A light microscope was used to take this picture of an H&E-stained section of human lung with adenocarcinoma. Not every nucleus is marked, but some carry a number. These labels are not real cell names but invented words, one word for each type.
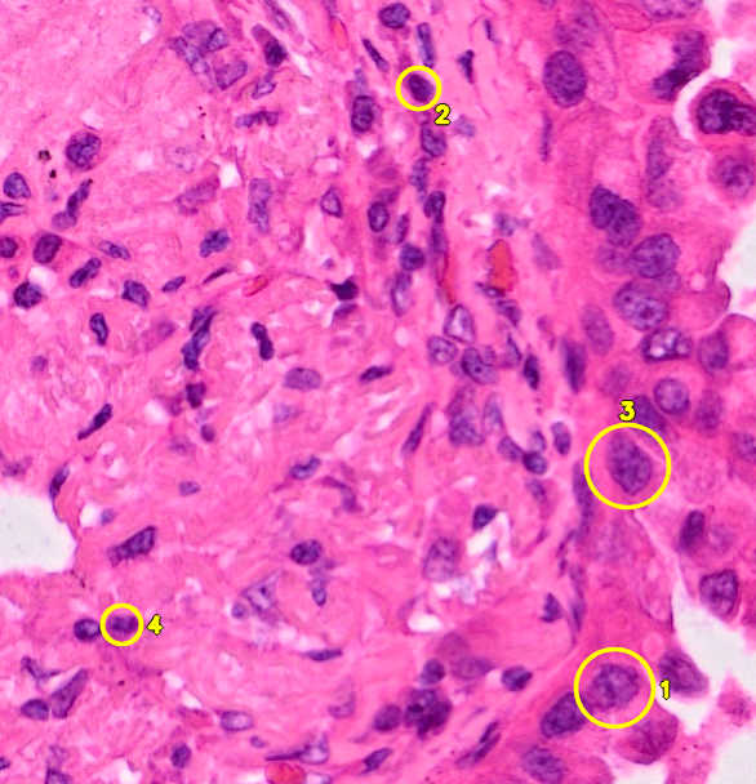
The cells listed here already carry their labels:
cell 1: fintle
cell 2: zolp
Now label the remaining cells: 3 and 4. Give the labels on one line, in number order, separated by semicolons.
fintle; zolp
